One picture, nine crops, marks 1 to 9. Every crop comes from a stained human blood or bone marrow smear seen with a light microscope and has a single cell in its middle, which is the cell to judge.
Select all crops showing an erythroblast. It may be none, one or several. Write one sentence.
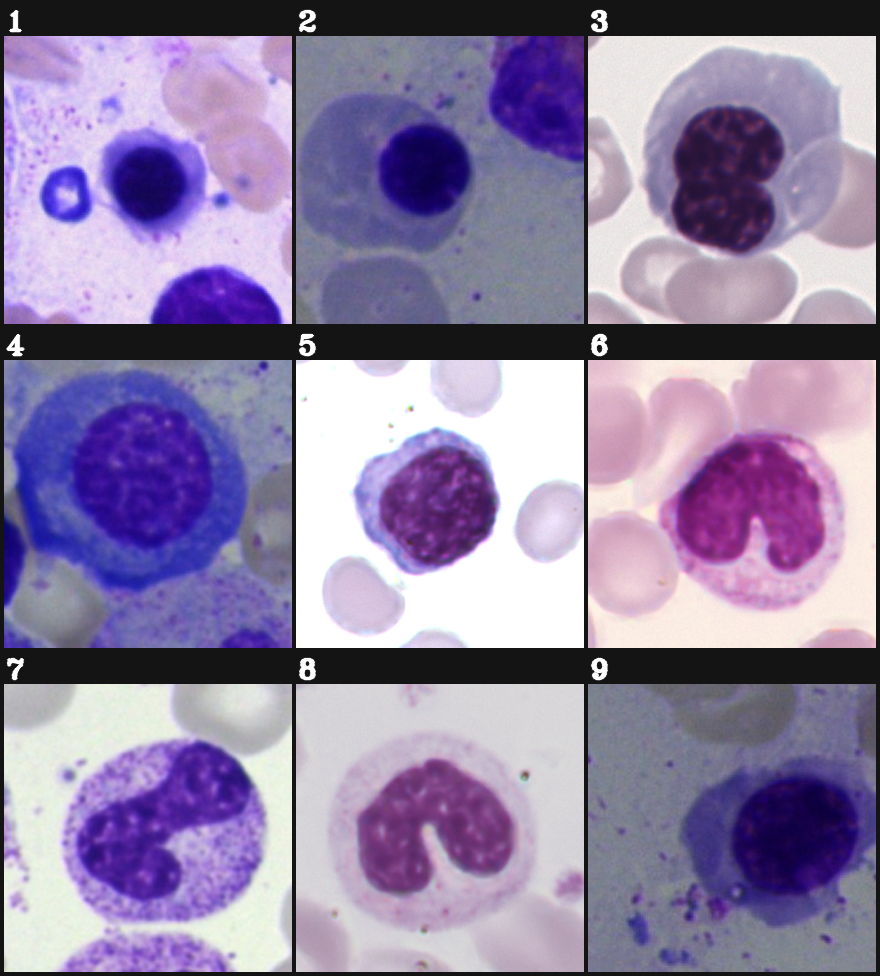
Classified as erythroblasts are the central cells of crops 1, 2, 3 and 9.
